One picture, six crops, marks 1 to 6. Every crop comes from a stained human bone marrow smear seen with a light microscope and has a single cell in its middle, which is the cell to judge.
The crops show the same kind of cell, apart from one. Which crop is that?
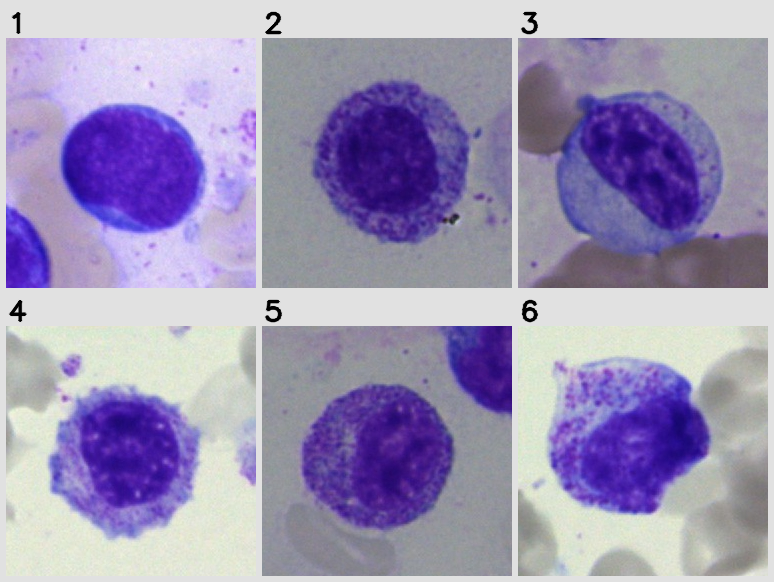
1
